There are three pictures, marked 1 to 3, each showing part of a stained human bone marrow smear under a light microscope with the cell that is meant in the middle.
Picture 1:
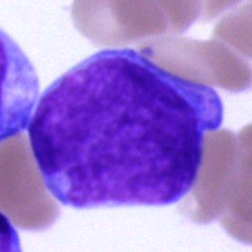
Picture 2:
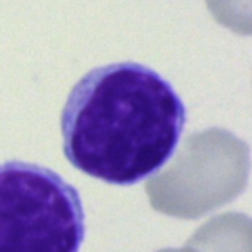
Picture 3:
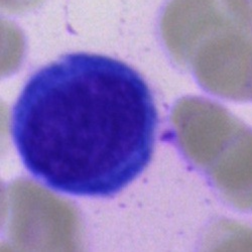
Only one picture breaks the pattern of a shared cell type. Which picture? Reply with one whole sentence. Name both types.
All pictures except 2 show blasts; picture 2 shows a lymphocyte.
